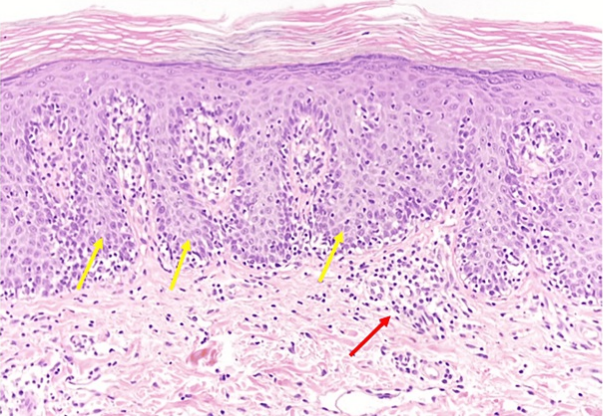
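This is skin at low power, with the layered cornified surface on top, the purple epidermis beneath, and pale pink dermis below. The epidermis is thickened, and its rete ridges reach down irregularly, with differing lengths and shapes. In the dermal papillae and around vessels in the dermis lie collections of small dark inflammatory cells. Lower in the dermis a denser cluster of these small round cells forms an aggregate.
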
